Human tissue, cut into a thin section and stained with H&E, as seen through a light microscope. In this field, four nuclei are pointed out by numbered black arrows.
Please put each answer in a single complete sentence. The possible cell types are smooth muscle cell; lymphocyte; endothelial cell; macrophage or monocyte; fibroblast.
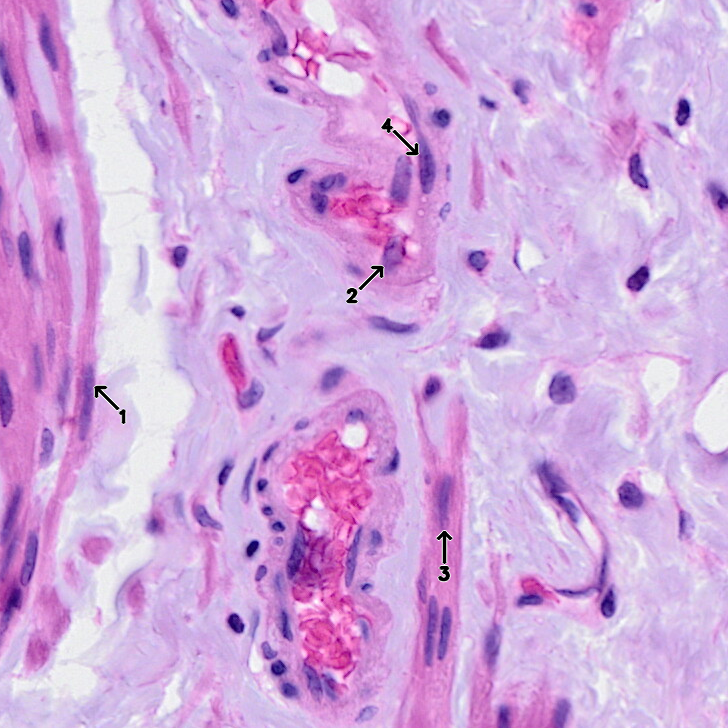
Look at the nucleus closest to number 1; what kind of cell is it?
Closest to number 1 lies the nucleus of a smooth muscle cell.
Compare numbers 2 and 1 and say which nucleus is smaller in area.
Nucleus 1 covers less area, with nucleus 2 about 2 times as large.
